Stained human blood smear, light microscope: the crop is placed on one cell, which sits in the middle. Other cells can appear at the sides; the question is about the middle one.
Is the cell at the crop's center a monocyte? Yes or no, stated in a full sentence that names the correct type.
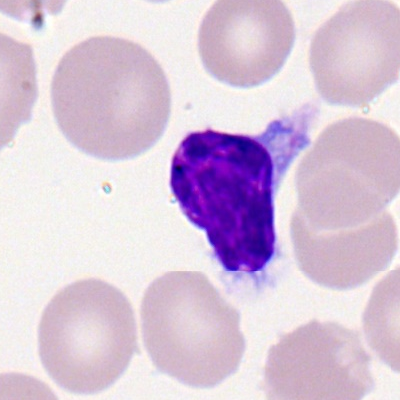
No, this one is a lymphocyte; it is not a monocyte.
